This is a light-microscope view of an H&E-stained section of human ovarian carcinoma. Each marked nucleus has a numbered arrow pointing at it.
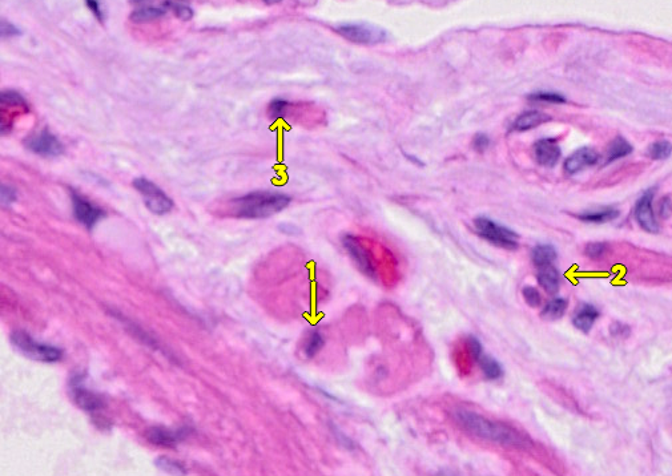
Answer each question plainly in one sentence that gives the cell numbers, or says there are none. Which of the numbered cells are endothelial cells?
Only number 2 is an endothelial cell; none of the others are.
